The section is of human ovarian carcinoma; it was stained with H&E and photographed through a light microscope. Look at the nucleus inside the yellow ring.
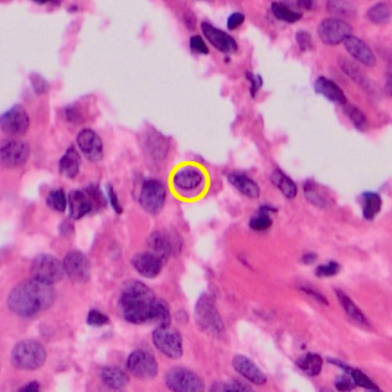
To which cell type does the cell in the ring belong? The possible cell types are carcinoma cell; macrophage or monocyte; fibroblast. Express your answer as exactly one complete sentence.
It is as a macrophage or monocyte that the cell in the ring is classified.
